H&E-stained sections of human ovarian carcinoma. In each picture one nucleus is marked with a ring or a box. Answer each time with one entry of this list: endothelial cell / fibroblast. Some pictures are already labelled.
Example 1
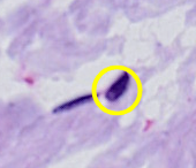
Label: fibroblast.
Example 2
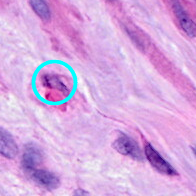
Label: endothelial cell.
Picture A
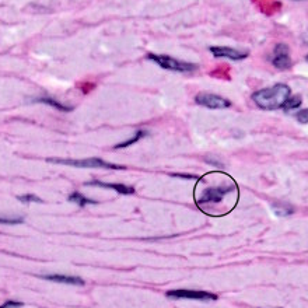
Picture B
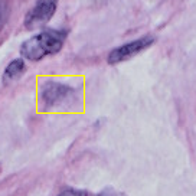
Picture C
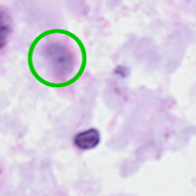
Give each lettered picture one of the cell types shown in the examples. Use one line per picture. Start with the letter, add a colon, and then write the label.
A: fibroblast.
B: fibroblast.
C: fibroblast.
